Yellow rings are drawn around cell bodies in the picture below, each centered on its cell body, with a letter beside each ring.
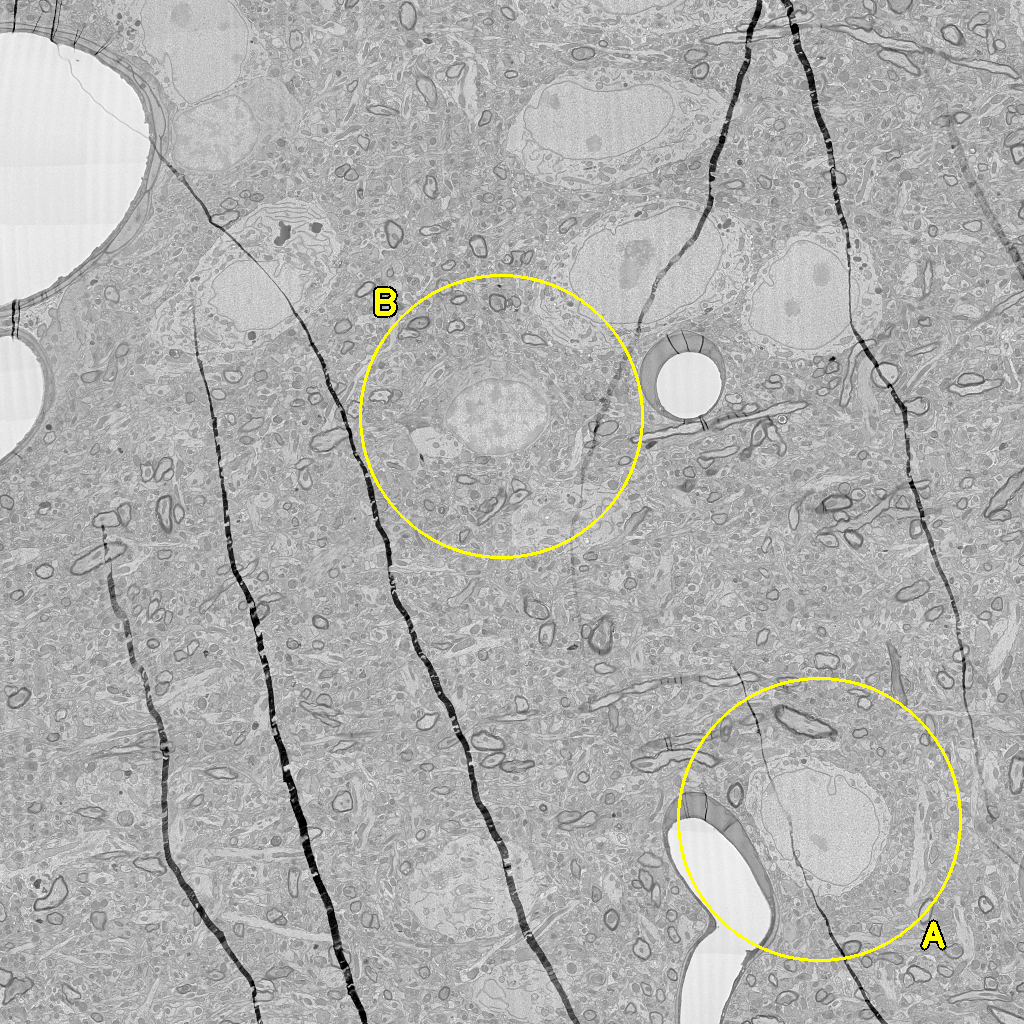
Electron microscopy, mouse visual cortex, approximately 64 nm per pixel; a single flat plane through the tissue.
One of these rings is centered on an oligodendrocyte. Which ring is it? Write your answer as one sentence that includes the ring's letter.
It is ring B.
